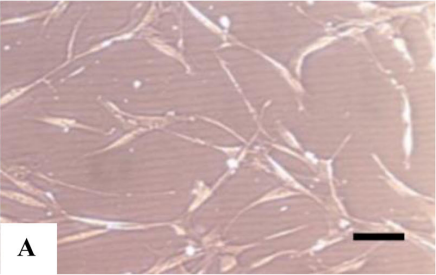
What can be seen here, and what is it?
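Cultured cells with fibroblast-like form are spread sparsely over the dish. Each cell is elongated and spindle-shaped with long, thin tapering processes at both ends. The cells lie in various directions, some touching at their tips to form a loose network, with much empty space between them.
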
